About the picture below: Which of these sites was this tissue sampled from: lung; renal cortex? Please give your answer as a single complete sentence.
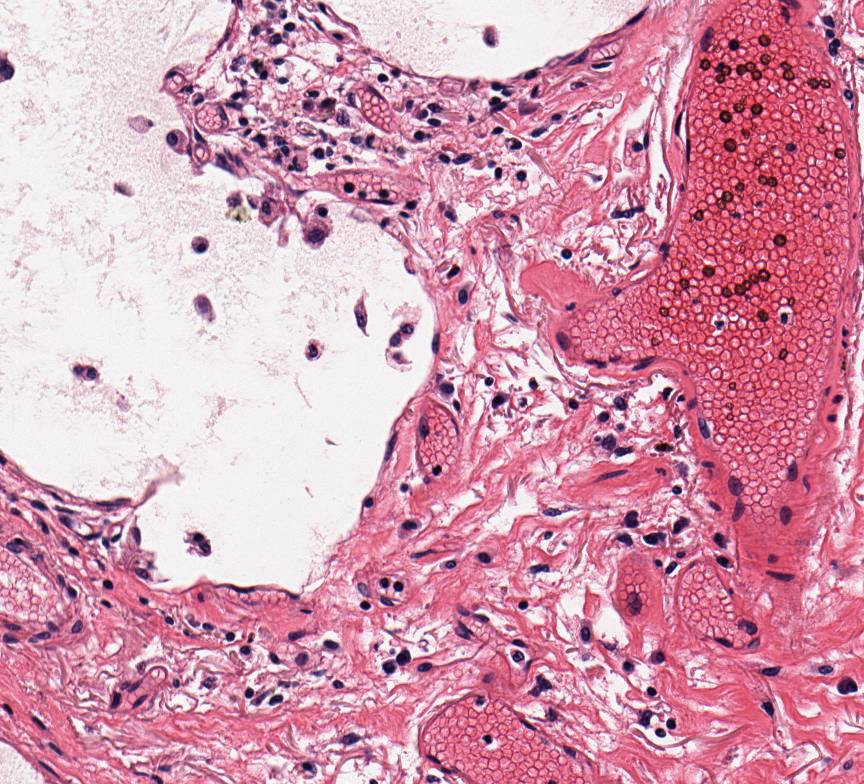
The sampling site of this tissue was the lung.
